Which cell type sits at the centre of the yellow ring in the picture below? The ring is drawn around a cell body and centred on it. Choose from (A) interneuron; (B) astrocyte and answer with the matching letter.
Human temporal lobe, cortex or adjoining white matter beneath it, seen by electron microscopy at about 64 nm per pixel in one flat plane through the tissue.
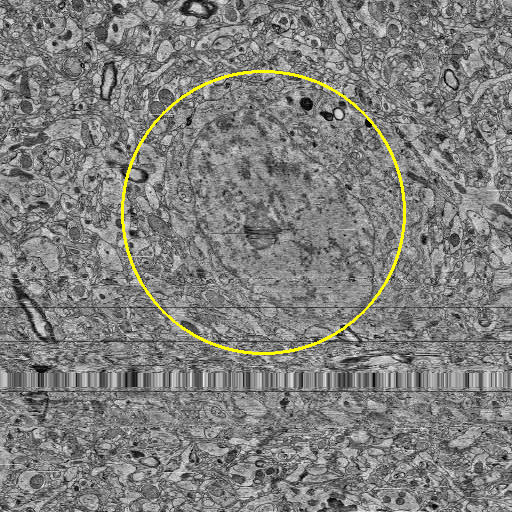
A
